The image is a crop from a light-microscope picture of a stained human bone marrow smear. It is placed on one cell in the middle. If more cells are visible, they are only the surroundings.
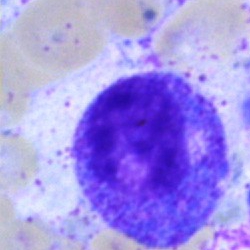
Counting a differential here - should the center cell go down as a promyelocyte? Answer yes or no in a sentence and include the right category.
Yes, the cell in the middle has the identity of a promyelocyte.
